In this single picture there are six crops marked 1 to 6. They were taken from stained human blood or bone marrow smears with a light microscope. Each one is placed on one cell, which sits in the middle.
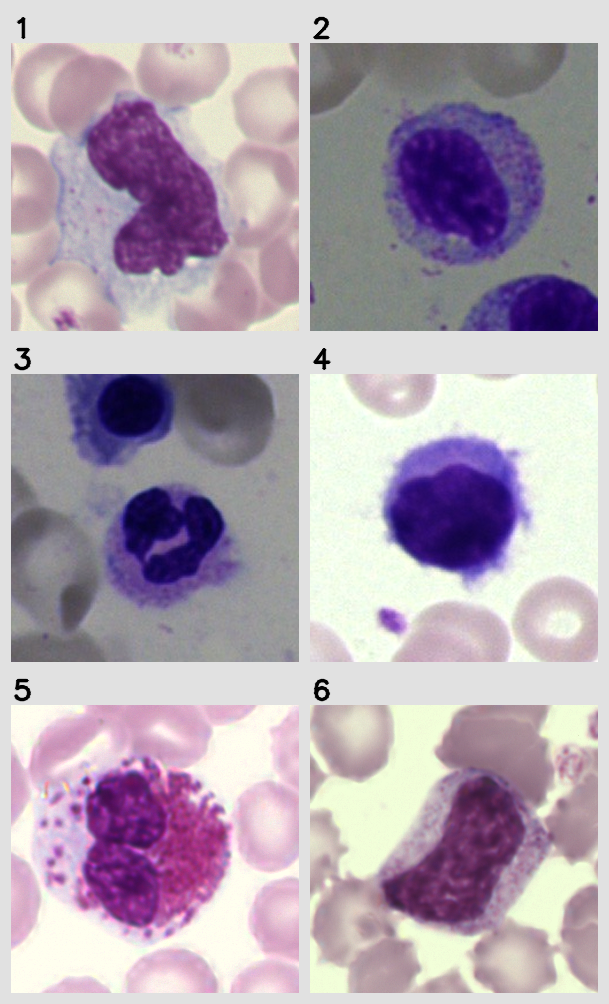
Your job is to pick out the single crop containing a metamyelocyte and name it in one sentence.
The crop showing a metamyelocyte in this series is crop 6.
